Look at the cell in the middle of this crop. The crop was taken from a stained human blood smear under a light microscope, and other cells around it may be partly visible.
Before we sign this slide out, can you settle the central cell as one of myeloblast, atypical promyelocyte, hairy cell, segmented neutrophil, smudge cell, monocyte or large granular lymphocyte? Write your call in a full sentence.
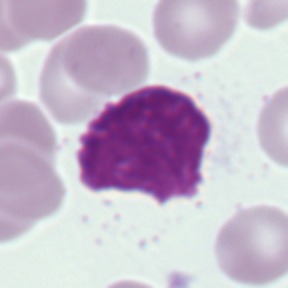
The centrally placed cell is classified as a smudge cell.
